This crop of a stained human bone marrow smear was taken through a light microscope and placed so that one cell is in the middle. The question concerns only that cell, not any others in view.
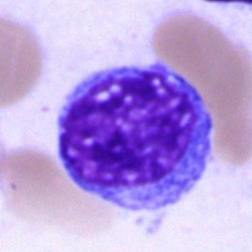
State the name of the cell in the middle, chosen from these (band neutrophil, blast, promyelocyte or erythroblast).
blast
